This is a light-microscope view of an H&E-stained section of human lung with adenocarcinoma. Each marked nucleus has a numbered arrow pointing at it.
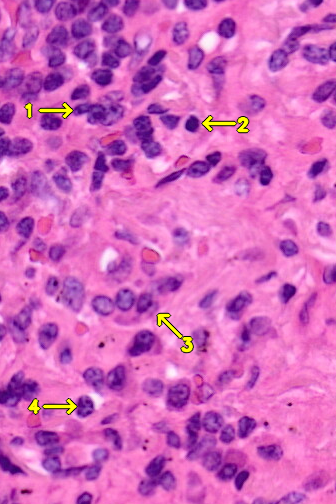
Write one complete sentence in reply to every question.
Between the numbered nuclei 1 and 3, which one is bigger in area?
The larger nucleus is 3, at roughly 3 times the area of 1.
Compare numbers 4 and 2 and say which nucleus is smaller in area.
The smaller nucleus is 2, and 4 covers roughly 1.5 times its area.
